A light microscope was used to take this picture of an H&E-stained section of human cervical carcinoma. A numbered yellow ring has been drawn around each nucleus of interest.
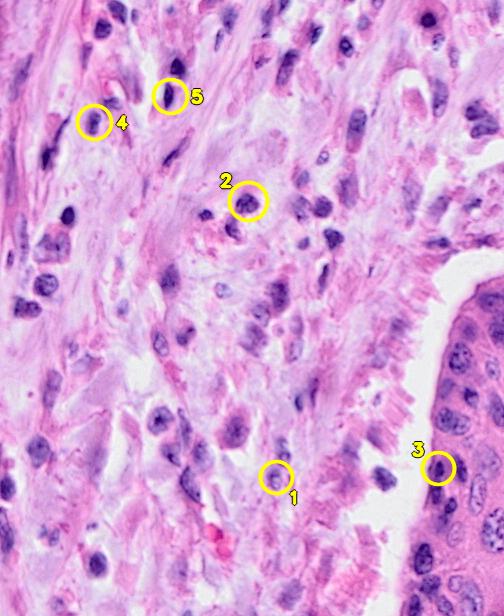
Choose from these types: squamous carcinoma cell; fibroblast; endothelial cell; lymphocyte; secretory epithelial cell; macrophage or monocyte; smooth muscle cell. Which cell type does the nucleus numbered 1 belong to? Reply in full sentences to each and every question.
The cell indicated with the number 1 is classed as a fibroblast.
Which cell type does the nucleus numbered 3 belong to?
As for number 3, that cell is a squamous carcinoma cell.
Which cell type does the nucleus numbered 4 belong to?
Among the marked cells, number 4 is a lymphocyte.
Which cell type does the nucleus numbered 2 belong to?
Cell 2 in the field of view is a lymphocyte.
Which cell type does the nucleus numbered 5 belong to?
The marked nucleus 5 is that of a lymphocyte.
